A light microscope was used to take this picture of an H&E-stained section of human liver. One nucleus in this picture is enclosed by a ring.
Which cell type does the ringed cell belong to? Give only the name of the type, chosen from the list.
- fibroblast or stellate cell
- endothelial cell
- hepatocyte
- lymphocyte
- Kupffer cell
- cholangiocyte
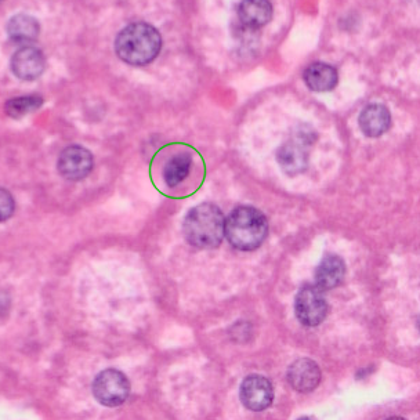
fibroblast or stellate cell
